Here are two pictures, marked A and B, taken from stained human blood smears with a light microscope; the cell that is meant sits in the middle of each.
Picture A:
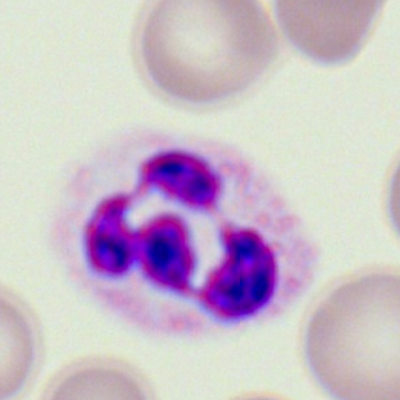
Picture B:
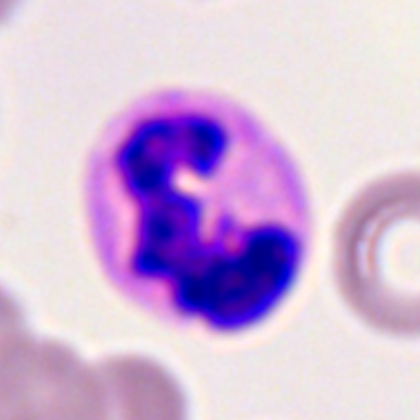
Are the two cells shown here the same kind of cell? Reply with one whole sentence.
Yes, both are segmented neutrophils.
